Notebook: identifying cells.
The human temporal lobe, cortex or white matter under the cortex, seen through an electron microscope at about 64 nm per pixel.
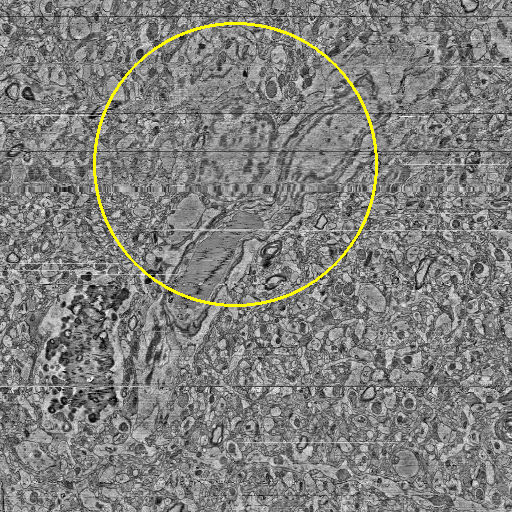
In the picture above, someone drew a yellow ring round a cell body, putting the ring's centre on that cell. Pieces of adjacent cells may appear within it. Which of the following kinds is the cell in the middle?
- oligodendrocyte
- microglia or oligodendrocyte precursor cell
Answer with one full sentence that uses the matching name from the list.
In this picture, the yellow ring is centred on the body of an oligodendrocyte.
